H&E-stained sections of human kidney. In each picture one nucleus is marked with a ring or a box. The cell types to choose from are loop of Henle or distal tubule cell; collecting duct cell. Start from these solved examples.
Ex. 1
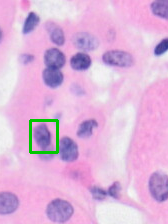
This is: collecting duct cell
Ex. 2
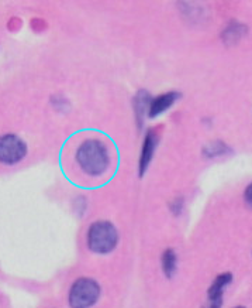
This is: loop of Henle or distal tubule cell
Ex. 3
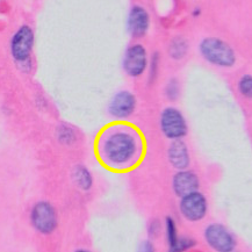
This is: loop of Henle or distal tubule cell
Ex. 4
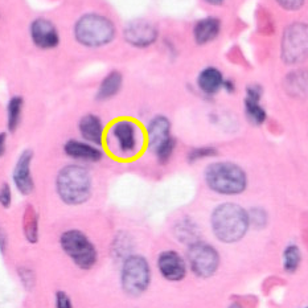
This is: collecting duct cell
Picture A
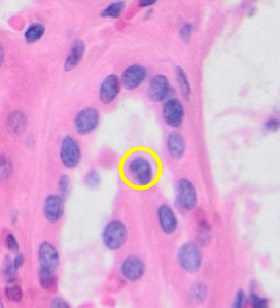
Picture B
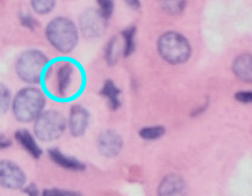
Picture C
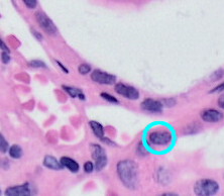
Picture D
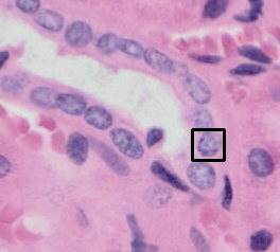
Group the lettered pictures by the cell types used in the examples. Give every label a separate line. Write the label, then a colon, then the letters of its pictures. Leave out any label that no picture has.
loop of Henle or distal tubule cell: A
collecting duct cell: B, C, D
